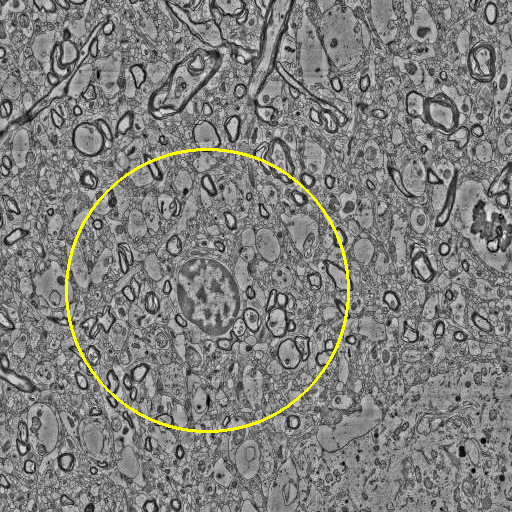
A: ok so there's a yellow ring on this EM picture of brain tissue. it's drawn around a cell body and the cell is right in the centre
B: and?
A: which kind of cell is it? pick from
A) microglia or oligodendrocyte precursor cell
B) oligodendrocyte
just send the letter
A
